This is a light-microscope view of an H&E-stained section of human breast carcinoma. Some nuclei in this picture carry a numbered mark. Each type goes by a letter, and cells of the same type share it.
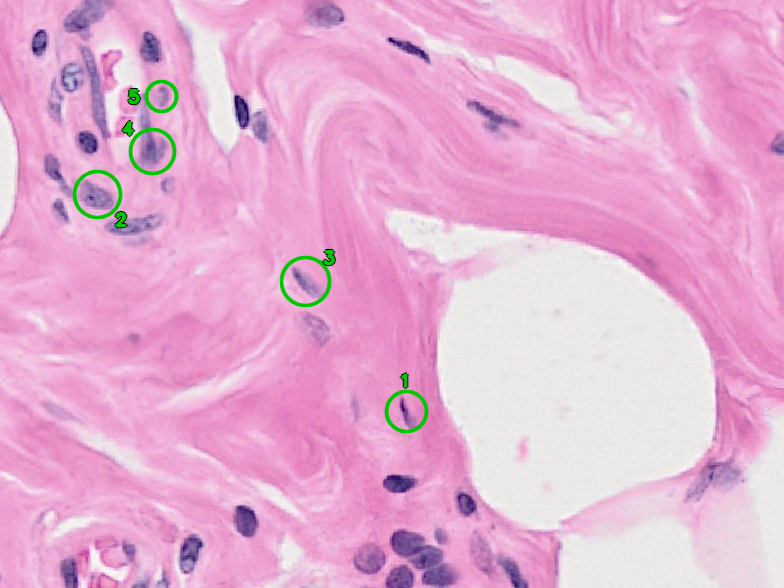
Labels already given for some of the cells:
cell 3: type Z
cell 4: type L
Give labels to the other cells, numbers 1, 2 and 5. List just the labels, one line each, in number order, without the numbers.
type Z
type L
type L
